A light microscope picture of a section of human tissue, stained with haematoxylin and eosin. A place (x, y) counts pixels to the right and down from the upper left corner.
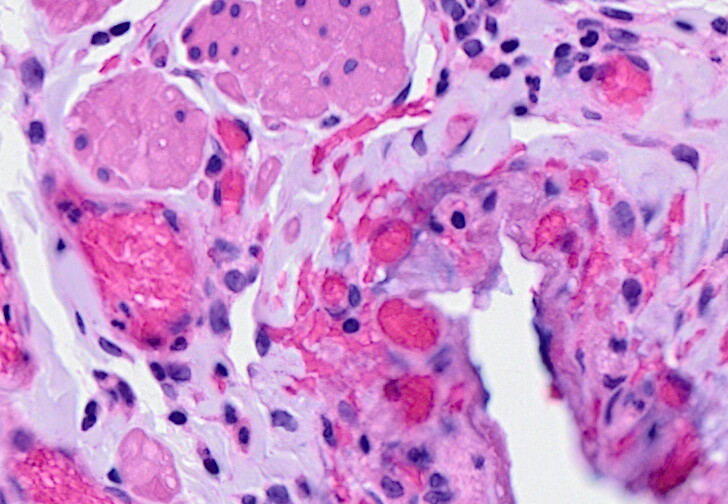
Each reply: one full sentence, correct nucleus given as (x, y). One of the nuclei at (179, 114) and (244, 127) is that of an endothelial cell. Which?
Located at (244, 127), this nucleus is the one belonging to an endothelial cell.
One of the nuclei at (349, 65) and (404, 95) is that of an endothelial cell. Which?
As for which of the two, the nucleus at (404, 95) belongs to an endothelial cell.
